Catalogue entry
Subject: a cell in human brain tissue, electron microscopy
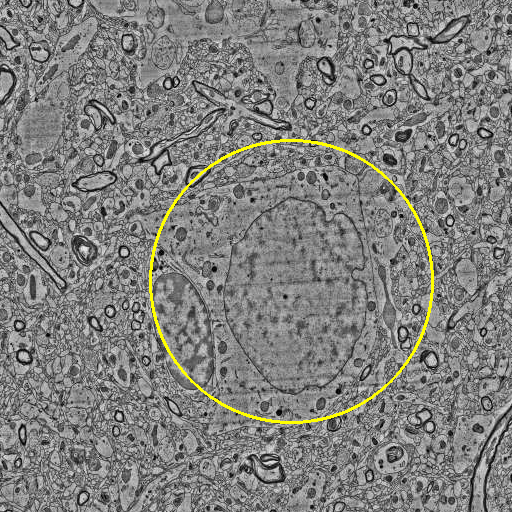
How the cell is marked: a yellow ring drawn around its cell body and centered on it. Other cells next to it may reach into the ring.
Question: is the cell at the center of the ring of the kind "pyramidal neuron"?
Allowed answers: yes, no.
yes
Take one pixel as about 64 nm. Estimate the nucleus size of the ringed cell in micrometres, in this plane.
In this plane the nucleus spans approximately 12 by 9 micrometers.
